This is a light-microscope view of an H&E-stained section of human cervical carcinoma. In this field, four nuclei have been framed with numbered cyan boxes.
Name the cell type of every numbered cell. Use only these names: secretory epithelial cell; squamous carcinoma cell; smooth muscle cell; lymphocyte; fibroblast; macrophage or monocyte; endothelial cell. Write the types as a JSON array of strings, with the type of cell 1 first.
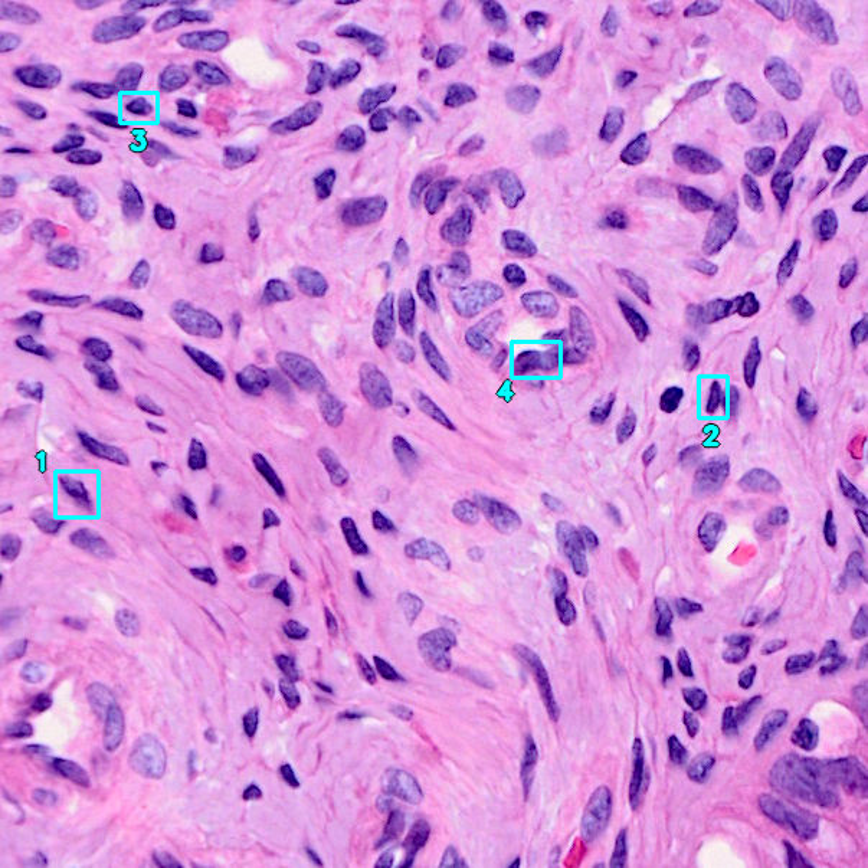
["fibroblast", "fibroblast", "fibroblast", "endothelial cell"]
